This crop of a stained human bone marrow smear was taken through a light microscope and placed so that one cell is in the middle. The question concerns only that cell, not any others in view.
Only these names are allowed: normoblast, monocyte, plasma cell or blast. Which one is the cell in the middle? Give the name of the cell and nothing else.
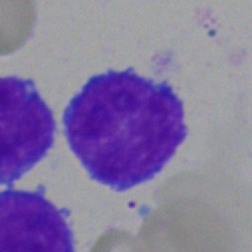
blast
